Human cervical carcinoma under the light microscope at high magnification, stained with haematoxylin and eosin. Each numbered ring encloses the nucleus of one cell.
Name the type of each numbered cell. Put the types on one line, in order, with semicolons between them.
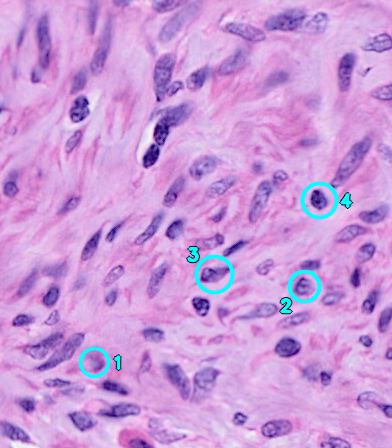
smooth muscle cell; smooth muscle cell; smooth muscle cell; lymphocyte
